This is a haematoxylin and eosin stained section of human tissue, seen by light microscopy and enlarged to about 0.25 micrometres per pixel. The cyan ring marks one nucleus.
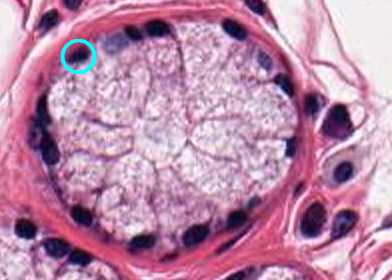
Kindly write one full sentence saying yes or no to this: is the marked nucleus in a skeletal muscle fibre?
No, the marked nucleus is not within a skeletal muscle fibre; it is within a mucous gland cell.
